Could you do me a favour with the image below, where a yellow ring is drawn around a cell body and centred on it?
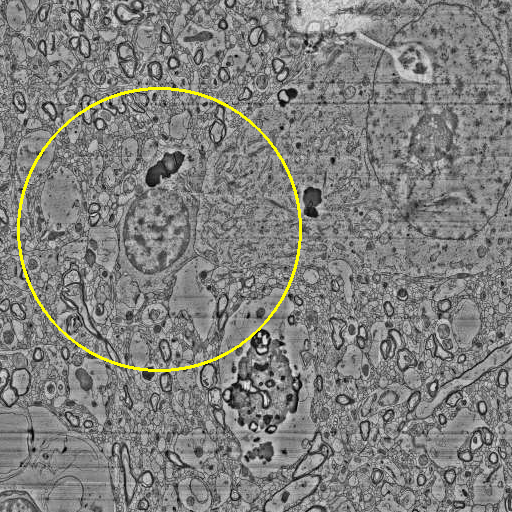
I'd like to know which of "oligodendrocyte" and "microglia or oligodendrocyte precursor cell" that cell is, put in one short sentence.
The cell at the ring's centre is an oligodendrocyte.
